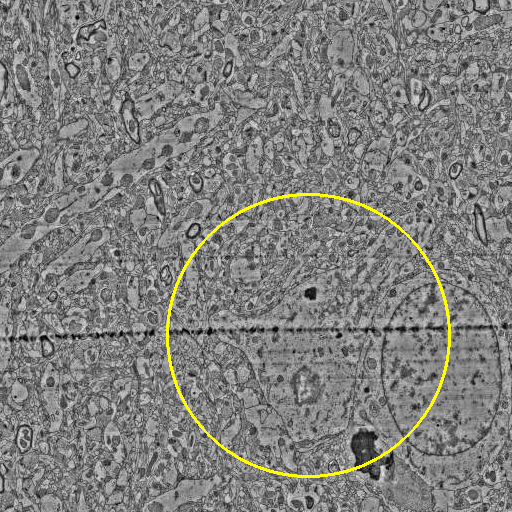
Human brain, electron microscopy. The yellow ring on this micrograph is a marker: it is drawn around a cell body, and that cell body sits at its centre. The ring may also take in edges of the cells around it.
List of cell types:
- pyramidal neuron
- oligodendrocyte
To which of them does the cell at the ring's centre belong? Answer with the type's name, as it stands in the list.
pyramidal neuron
